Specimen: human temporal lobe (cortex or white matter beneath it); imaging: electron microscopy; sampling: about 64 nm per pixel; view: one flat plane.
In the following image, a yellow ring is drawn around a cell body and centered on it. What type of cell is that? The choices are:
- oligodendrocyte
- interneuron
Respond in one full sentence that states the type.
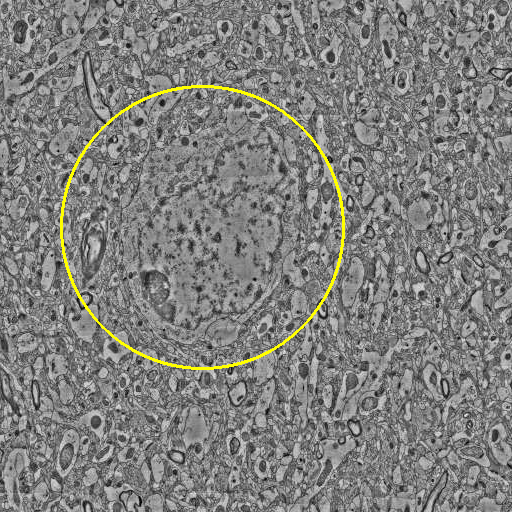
The cell at the center of the yellow ring in the image is an interneuron.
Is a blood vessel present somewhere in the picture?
No.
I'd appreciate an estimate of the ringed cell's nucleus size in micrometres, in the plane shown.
Approximately 13 by 9 micrometers in this plane.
